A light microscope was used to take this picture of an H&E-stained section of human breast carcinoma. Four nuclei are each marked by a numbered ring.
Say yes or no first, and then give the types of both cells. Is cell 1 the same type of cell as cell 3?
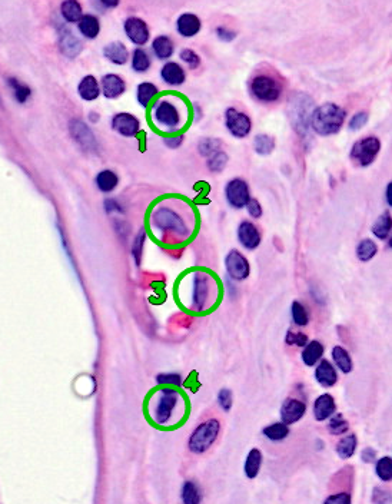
No, with respect, cell 1 is a lymphocyte and cell 3 is an endothelial cell.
